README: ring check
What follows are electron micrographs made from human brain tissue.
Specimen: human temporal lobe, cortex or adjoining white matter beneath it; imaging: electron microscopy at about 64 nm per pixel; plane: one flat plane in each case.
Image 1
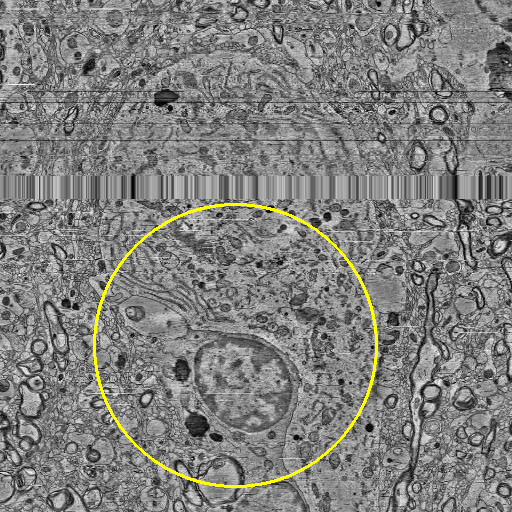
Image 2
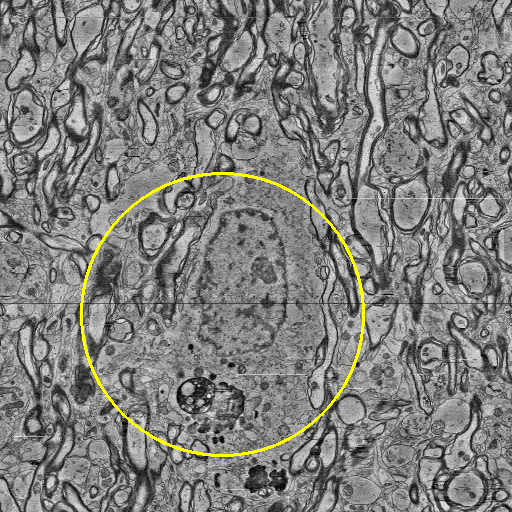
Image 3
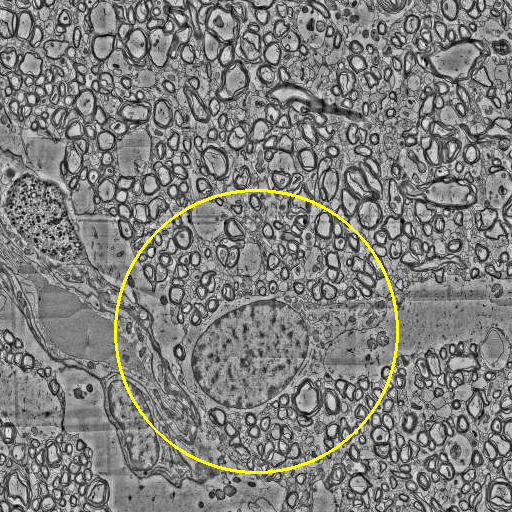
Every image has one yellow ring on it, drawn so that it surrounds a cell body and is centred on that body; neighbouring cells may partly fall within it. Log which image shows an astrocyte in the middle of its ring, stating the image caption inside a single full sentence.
Image 2 is where the cell at the ring's centre matches the one asked for.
